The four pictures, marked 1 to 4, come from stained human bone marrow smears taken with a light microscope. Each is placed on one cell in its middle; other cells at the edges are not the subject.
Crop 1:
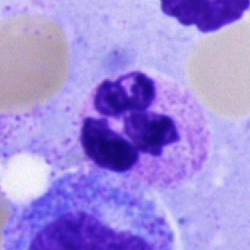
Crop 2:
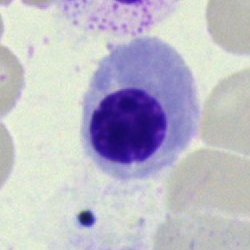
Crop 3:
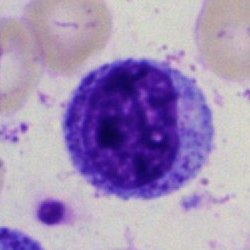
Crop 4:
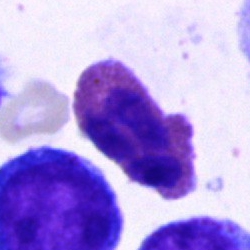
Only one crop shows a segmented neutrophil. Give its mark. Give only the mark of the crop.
1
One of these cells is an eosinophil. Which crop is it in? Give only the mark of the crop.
4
